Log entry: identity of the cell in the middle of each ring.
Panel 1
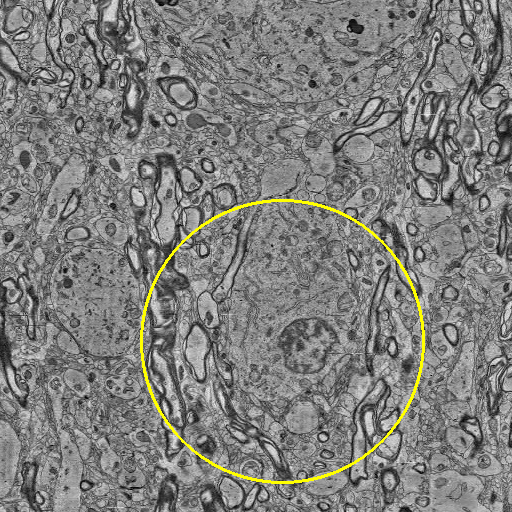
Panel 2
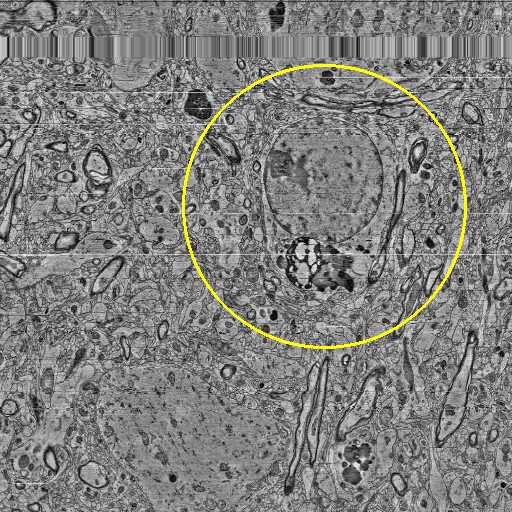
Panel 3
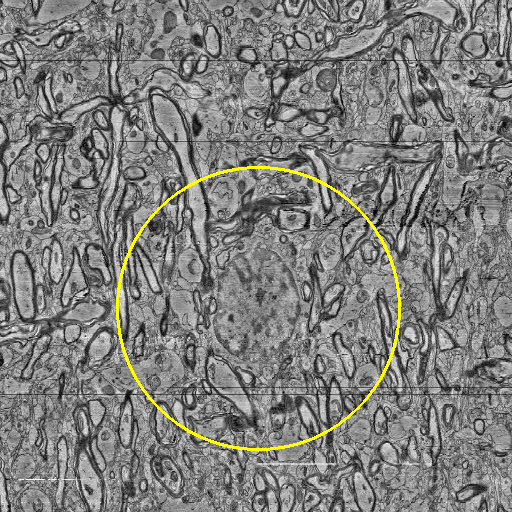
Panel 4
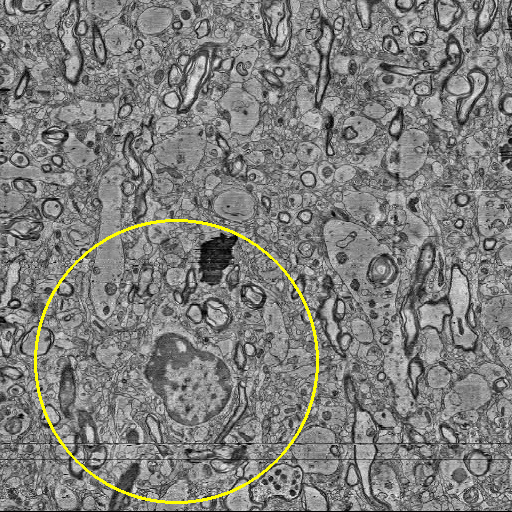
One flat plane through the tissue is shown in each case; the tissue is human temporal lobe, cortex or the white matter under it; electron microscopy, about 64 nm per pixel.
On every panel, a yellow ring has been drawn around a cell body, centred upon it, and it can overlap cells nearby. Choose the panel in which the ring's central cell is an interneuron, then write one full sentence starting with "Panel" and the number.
Panel 1 shows the requested cell sitting in the middle of its ring.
